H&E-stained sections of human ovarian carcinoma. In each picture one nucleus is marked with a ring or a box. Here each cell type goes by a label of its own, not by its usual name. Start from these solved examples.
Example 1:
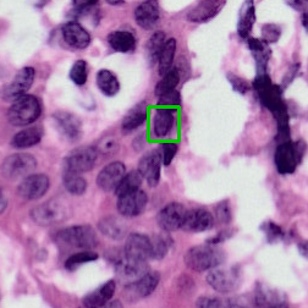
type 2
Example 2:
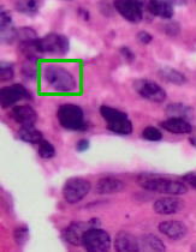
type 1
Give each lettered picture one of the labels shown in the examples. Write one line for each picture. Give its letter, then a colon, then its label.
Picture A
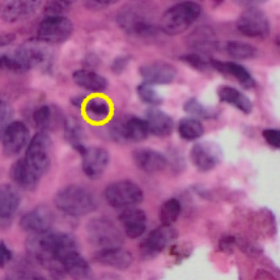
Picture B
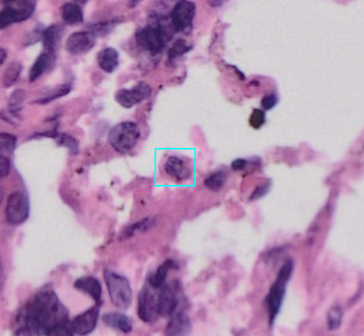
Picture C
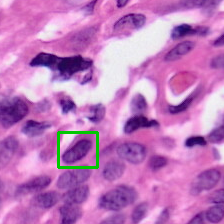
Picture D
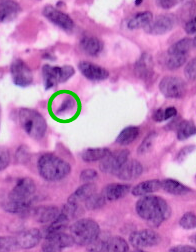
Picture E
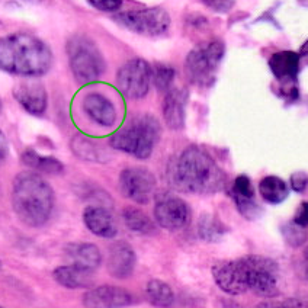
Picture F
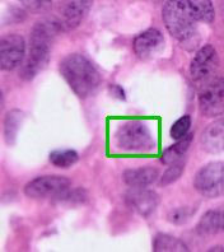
A: type 1
B: type 1
C: type 2
D: type 1
E: type 1
F: type 1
